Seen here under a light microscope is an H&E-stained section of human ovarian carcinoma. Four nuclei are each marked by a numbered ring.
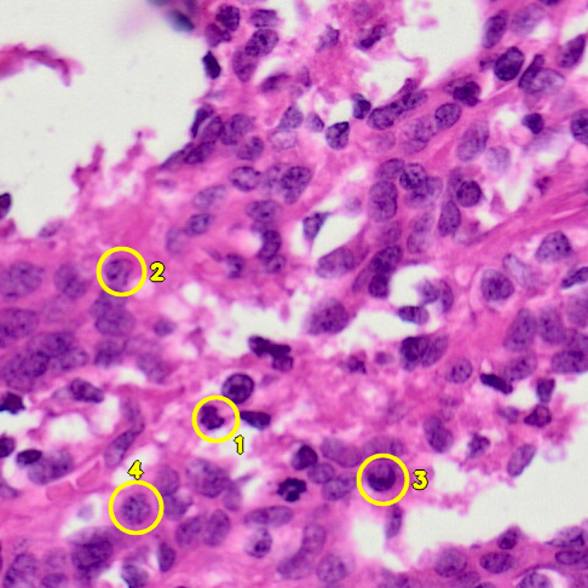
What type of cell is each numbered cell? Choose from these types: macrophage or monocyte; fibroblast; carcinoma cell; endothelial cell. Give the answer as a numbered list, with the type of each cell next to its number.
1. carcinoma cell
2. macrophage or monocyte
3. carcinoma cell
4. carcinoma cell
